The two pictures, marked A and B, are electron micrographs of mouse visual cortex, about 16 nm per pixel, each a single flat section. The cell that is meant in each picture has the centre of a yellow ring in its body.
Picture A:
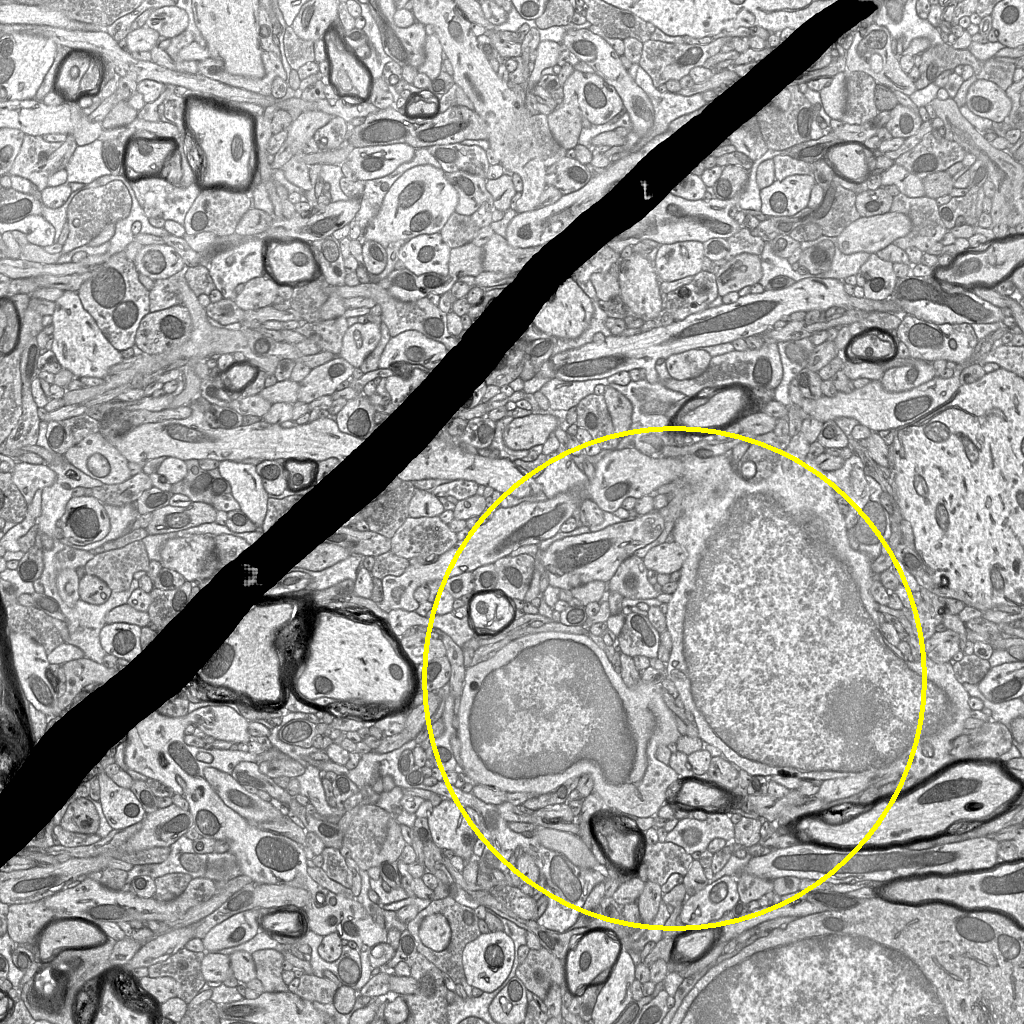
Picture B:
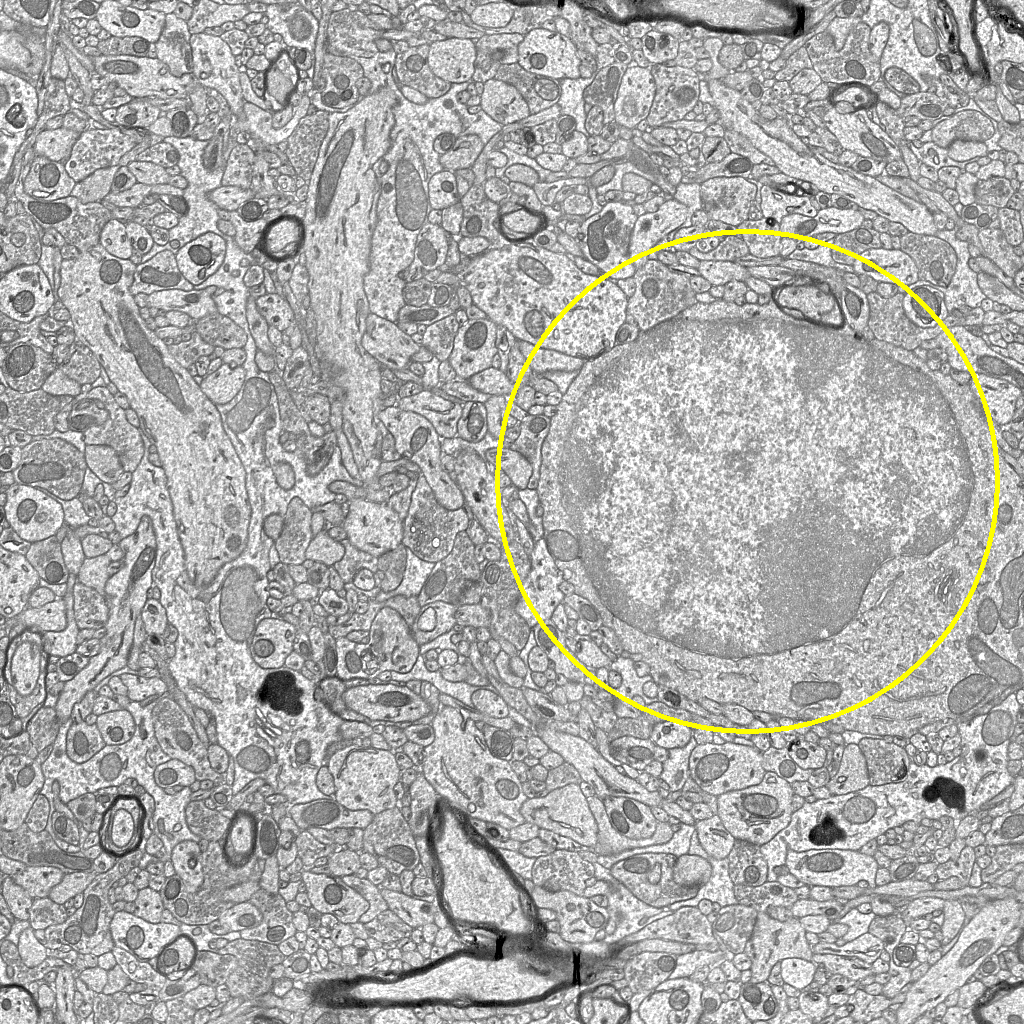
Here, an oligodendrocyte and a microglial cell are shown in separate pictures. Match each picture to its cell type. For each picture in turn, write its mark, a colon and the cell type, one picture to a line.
A: microglial cell
B: oligodendrocyte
